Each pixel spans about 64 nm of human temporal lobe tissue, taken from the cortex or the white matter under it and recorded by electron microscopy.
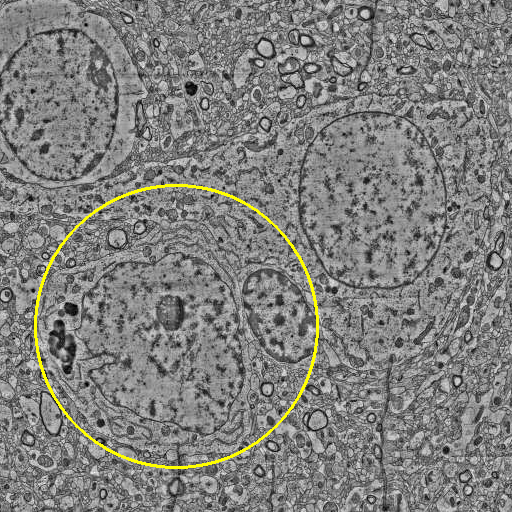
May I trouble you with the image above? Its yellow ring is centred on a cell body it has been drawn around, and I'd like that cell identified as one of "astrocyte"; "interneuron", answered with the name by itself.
interneuron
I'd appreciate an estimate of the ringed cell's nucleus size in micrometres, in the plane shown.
In this plane the nucleus is about 12 micrometres across.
